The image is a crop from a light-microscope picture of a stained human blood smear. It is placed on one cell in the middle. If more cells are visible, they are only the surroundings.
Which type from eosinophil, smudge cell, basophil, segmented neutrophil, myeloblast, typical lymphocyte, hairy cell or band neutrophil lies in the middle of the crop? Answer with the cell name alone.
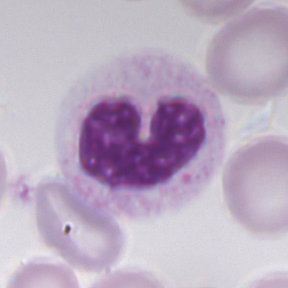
band neutrophil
